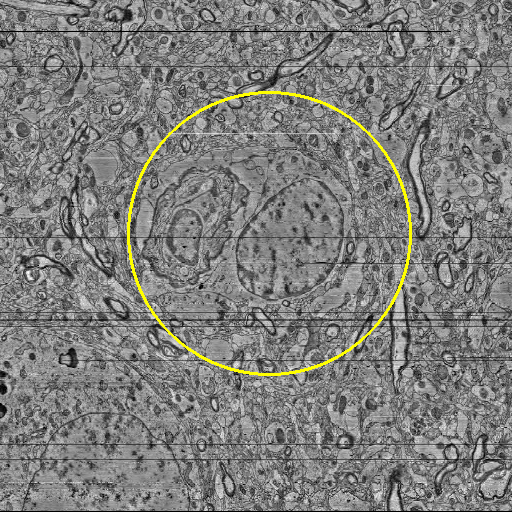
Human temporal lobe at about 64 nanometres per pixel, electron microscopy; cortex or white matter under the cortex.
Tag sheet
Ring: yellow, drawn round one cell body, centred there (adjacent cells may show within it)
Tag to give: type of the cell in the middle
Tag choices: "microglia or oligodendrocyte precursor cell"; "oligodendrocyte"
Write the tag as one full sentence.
I tag the cell centred in the yellow ring as a microglial cell or oligodendrocyte precursor cell in this picture.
